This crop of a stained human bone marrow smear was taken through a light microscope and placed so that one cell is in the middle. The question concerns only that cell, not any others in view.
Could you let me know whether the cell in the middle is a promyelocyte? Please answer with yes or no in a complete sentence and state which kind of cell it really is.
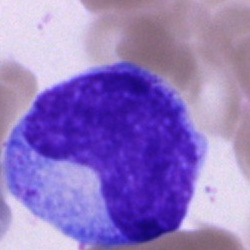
Yes, the central cell is to be recorded as a promyelocyte.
